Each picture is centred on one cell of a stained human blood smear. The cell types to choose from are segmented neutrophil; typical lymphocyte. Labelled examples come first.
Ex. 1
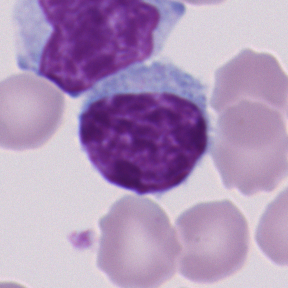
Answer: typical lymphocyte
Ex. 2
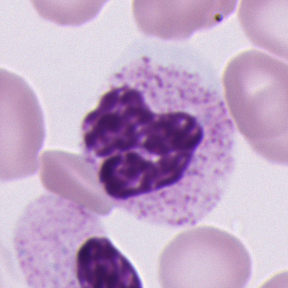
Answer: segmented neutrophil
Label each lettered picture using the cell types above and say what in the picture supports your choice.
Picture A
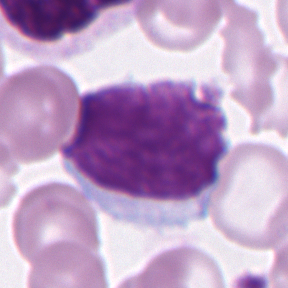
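Answer: typical lymphocyte. The cytoplasm forms a thin rim that is widest below the nucleus.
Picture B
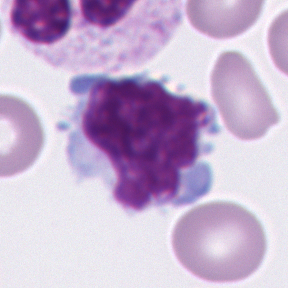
Answer: typical lymphocyte. The cytoplasm is scant and pale blue, forming a narrow, uneven rim around the nucleus.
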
